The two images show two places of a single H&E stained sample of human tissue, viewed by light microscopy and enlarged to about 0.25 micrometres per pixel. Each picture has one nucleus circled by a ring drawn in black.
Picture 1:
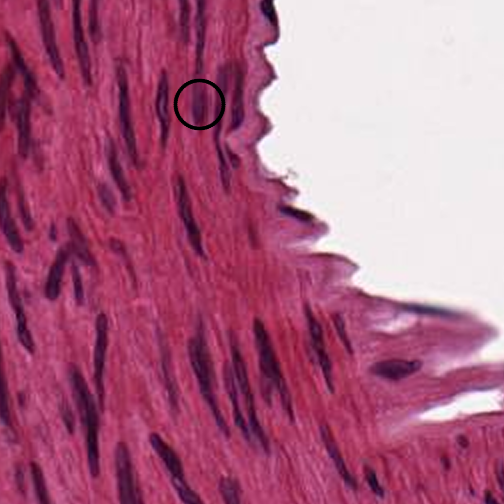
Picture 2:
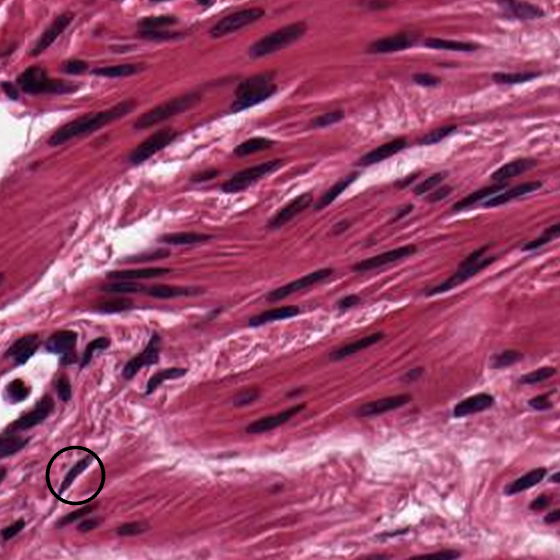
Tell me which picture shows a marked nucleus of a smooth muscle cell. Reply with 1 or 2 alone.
1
